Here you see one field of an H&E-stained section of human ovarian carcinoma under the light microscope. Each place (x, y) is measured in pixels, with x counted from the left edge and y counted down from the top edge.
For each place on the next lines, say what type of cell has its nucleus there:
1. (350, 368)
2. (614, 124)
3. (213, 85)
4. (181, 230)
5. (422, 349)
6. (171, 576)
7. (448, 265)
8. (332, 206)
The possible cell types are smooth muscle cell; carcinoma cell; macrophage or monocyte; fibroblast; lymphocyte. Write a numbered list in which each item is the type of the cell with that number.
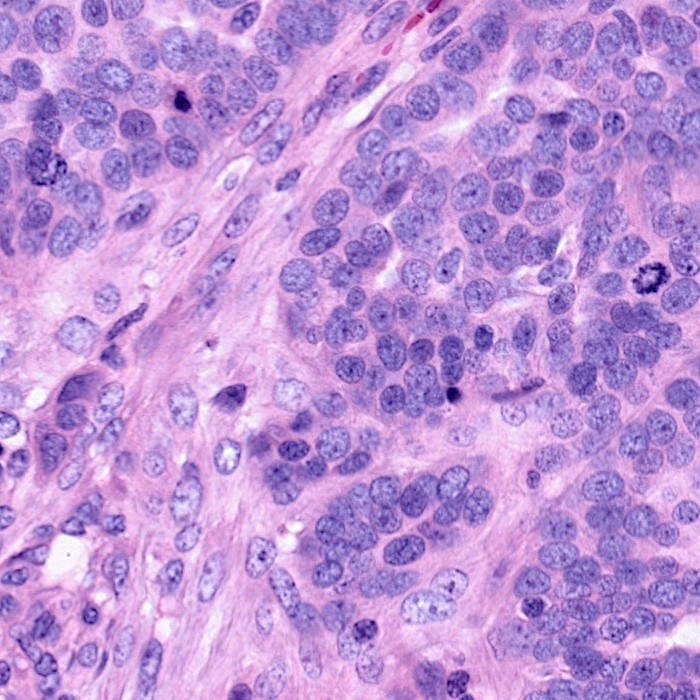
1. carcinoma cell
2. macrophage or monocyte
3. carcinoma cell
4. fibroblast
5. carcinoma cell
6. fibroblast
7. macrophage or monocyte
8. carcinoma cell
